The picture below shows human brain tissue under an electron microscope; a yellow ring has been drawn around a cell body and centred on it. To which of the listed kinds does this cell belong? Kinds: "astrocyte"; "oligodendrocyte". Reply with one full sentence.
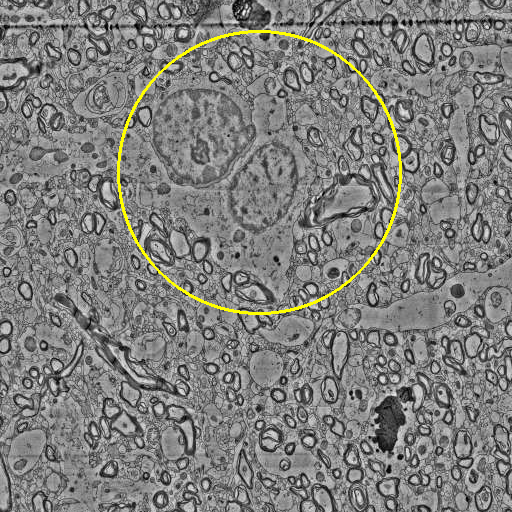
It is an astrocyte that the yellow ring in the picture is centred on.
